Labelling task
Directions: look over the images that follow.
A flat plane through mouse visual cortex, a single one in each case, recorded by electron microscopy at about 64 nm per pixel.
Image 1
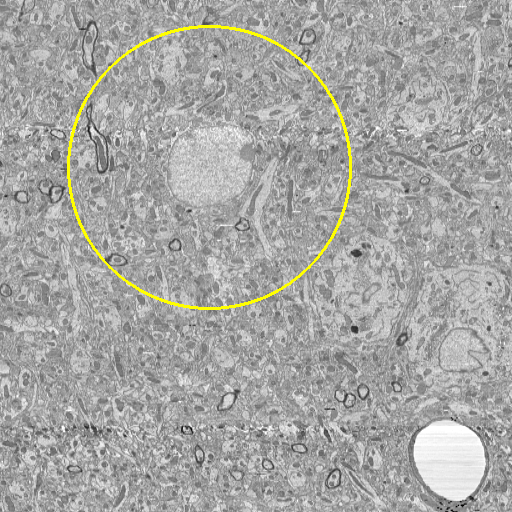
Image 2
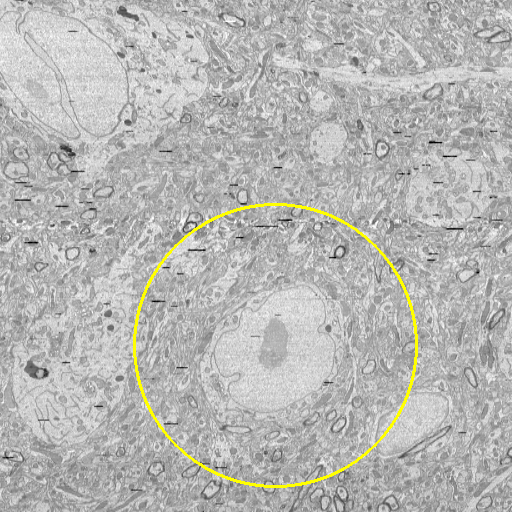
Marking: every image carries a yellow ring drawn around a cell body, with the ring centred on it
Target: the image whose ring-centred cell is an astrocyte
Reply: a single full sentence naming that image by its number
The requested cell sits at the ring's centre in Image 1.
